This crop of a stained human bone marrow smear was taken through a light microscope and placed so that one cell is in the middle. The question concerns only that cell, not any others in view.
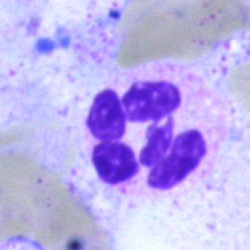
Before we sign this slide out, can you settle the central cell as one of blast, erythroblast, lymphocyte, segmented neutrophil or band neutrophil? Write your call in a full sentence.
The cell at the centre of the field is a segmented neutrophil.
